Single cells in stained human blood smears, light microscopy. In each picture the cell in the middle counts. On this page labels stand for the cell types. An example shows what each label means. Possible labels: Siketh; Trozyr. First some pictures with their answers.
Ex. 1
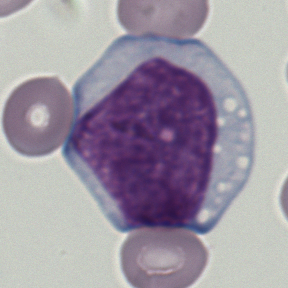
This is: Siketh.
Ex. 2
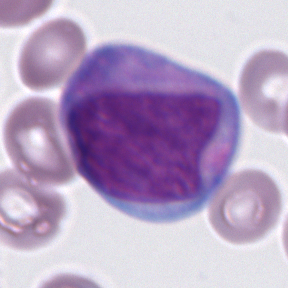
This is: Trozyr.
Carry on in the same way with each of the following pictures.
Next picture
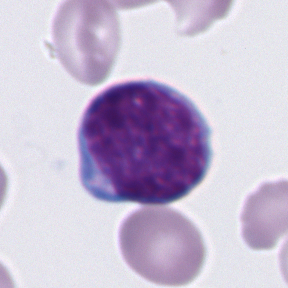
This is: Siketh.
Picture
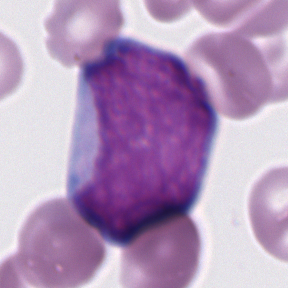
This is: Siketh.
